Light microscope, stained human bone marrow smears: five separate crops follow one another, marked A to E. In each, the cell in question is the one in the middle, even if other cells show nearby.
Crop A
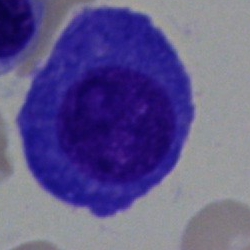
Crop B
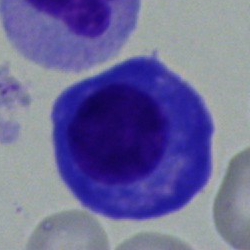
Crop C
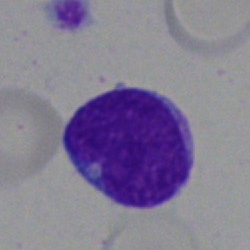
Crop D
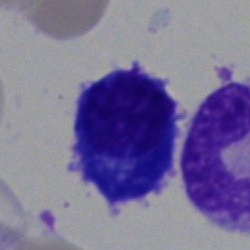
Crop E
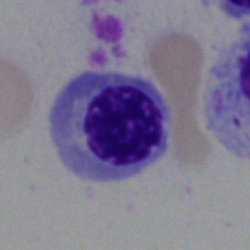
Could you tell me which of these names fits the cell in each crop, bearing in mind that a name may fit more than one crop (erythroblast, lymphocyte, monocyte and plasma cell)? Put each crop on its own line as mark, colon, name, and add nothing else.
A: plasma cell
B: plasma cell
C: lymphocyte
D: plasma cell
E: erythroblast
